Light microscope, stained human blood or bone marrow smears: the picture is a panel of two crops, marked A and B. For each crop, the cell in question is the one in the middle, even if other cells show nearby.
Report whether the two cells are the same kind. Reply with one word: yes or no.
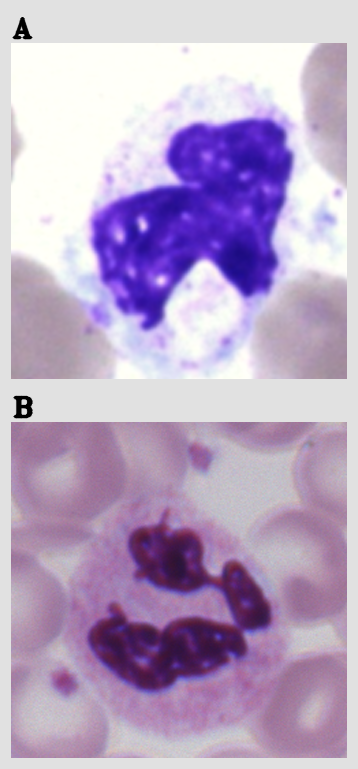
yes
